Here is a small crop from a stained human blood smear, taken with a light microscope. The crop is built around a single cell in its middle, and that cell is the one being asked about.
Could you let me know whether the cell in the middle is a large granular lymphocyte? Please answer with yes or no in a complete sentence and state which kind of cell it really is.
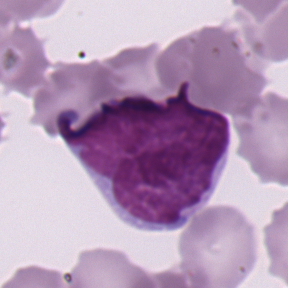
No, calling it a large granular lymphocyte is wrong; the middle cell is a myeloblast.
